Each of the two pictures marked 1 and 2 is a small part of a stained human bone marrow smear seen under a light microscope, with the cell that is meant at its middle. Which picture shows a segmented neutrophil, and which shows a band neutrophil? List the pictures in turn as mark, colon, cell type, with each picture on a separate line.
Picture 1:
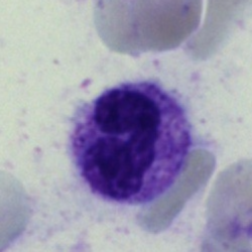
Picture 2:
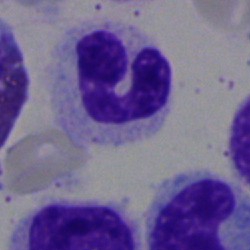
1: band neutrophil
2: segmented neutrophil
